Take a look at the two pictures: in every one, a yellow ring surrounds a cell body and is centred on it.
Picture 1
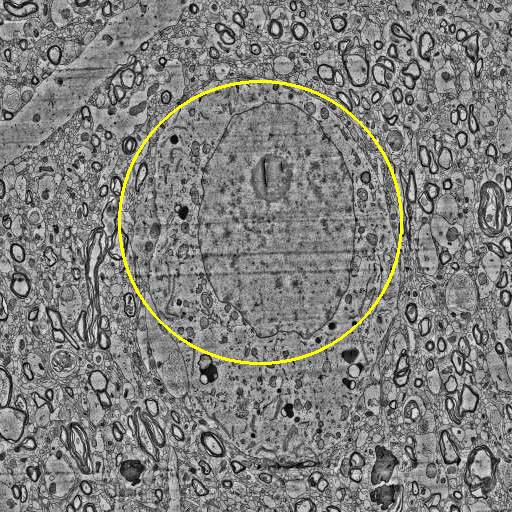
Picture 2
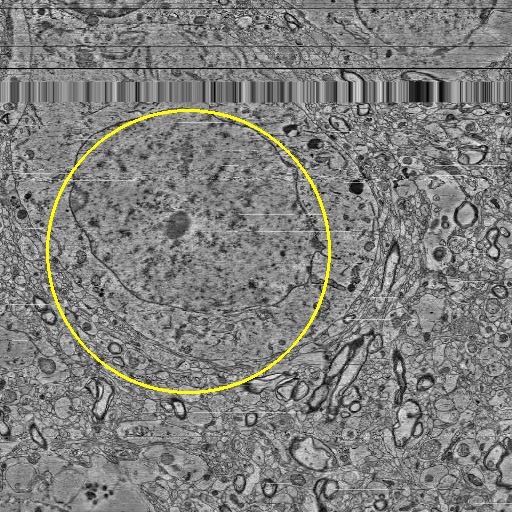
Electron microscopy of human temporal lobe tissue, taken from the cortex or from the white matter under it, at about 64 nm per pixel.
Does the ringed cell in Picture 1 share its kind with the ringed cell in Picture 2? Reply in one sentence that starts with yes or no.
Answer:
Yes, the two centred cells, one per picture, are of one kind.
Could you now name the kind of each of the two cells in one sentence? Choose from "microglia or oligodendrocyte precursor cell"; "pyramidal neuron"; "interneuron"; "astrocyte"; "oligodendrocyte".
Each of the two pictures has a pyramidal neuron at the ring centre.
